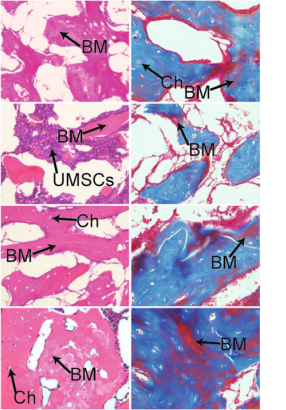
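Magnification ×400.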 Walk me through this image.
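Small nuclei are scattered within and along the matrix. In the second row, a purple cluster of densely packed small cells with dark nuclei lies beside the pink matrix. In the right column, the trichrome stain colours most of the matrix blue, with streaks and patches of red within it and along its edges. Empty spaces separate the bands of matrix in both columns.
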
